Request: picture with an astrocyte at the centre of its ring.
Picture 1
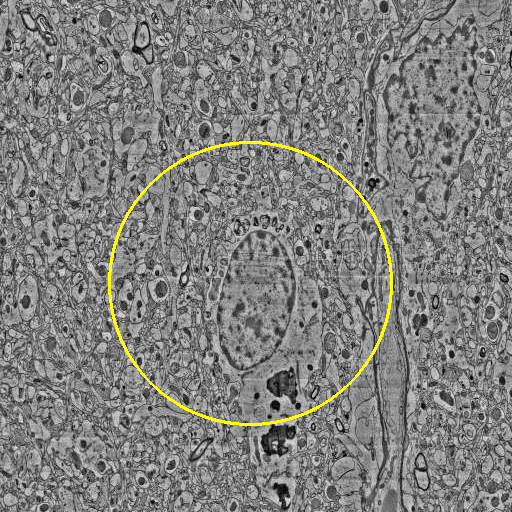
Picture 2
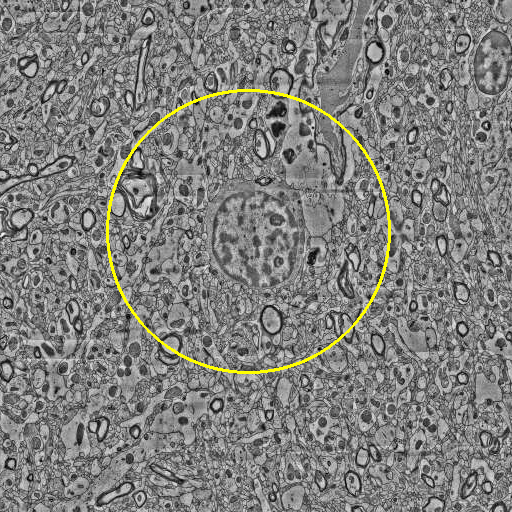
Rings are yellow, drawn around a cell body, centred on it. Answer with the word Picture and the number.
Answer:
Picture 1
